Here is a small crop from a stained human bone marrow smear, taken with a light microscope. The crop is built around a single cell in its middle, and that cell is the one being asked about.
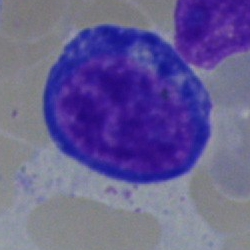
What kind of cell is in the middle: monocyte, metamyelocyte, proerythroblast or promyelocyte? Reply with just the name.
proerythroblast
